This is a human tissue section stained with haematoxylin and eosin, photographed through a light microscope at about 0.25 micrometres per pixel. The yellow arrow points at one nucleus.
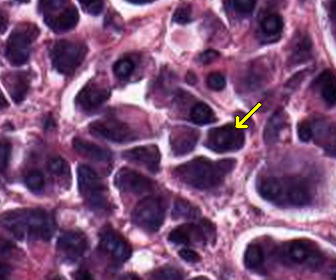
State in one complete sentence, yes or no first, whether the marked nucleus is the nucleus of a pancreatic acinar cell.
Yes, the marked nucleus is contained in a pancreatic acinar cell.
